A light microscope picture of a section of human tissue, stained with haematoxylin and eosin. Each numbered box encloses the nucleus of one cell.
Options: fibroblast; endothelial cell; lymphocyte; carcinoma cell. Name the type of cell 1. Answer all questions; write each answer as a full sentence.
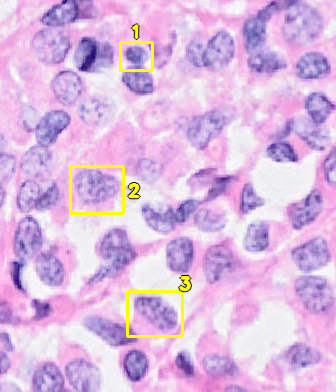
The cell numbered 1 represents a lymphocyte.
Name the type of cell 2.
Among the marked cells, number 2 is a carcinoma cell.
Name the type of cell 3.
The cell tagged with 3 in this tissue section is a carcinoma cell.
